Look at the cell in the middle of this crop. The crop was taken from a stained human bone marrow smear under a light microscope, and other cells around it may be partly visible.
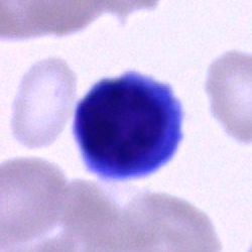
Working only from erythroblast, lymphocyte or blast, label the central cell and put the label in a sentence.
The cell around which this crop is centred is an erythroblast.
